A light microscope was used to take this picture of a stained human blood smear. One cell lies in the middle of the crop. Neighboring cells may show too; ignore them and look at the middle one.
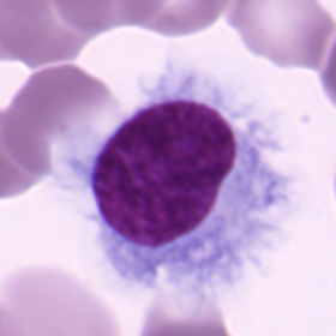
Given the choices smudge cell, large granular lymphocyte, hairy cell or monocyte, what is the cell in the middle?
hairy cell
